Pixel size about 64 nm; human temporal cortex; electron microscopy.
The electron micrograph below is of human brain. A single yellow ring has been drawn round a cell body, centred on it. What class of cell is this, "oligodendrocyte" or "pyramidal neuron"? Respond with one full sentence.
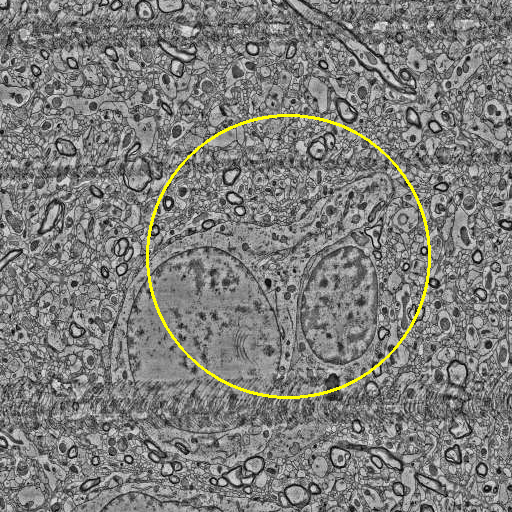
In the micrograph, the cell centred inside the yellow ring is an oligodendrocyte.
